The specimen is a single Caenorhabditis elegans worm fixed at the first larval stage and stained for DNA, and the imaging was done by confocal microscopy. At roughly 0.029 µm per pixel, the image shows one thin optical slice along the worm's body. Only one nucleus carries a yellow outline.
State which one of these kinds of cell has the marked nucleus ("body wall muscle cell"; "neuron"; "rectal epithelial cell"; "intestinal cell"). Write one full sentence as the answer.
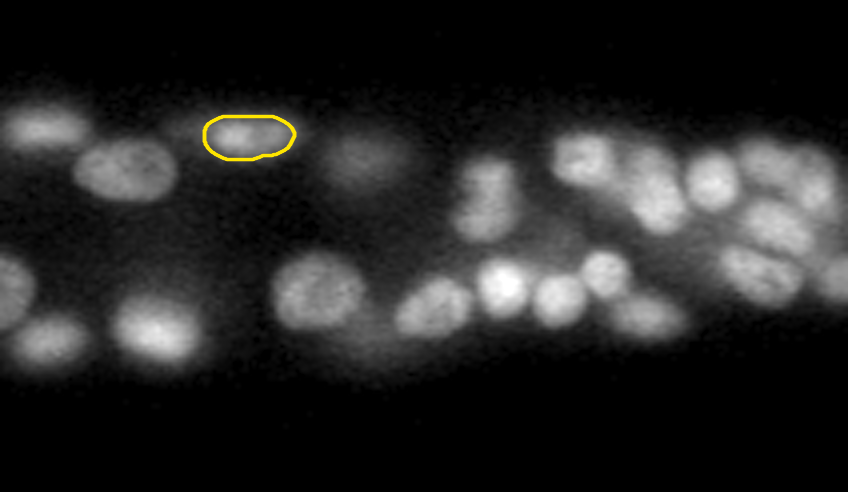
The nucleus comes from a body wall muscle cell.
